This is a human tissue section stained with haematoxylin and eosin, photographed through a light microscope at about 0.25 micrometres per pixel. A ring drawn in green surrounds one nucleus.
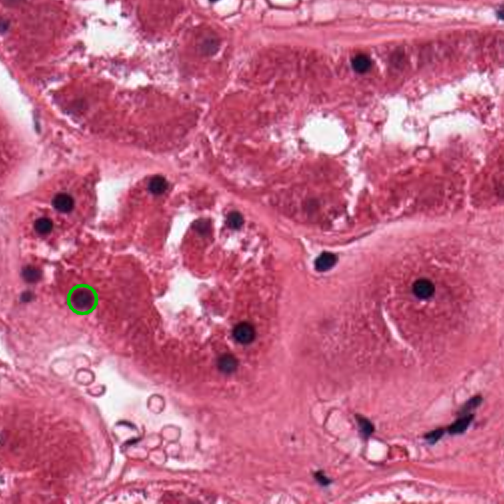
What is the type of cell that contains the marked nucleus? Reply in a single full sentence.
In this picture, the marked nucleus belongs to a proximal tubule cell.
